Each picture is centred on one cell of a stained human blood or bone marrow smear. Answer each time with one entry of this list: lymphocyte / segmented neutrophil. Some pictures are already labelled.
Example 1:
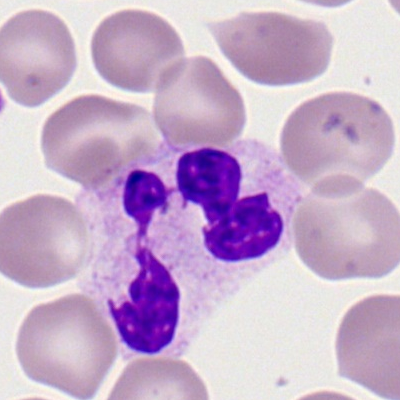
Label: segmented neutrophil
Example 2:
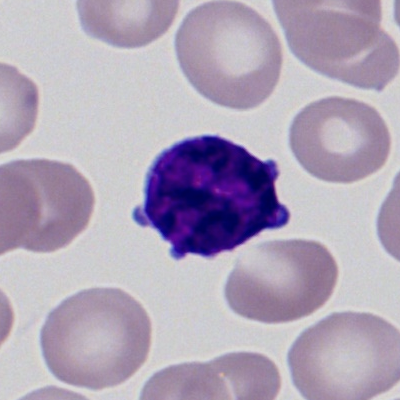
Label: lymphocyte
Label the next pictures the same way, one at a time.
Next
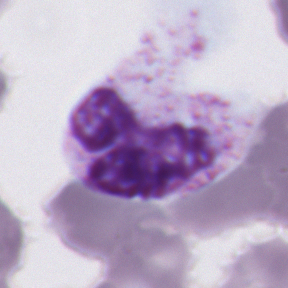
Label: segmented neutrophil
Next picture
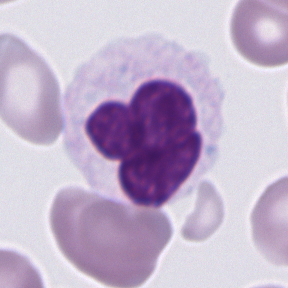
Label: segmented neutrophil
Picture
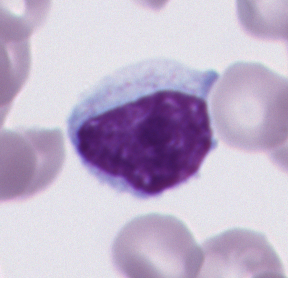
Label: lymphocyte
